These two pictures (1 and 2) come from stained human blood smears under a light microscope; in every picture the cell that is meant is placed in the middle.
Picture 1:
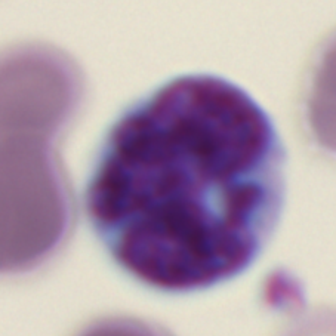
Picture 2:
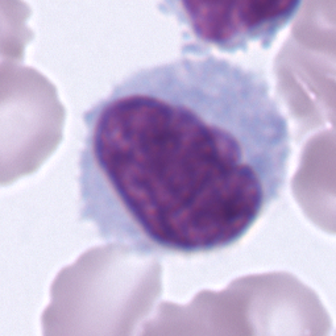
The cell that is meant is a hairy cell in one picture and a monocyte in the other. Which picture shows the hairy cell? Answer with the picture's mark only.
2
